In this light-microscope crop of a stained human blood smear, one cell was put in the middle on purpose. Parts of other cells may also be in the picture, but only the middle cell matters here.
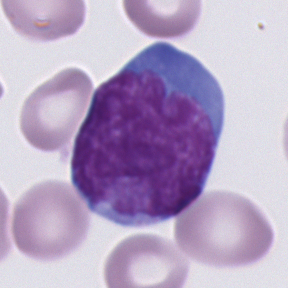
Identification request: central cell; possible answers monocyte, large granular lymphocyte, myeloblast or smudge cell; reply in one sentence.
Located at the centre of the crop is a myeloblast.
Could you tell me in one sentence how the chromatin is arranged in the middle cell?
Take a look at the chromatin, which is coarsely clumped.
